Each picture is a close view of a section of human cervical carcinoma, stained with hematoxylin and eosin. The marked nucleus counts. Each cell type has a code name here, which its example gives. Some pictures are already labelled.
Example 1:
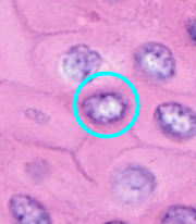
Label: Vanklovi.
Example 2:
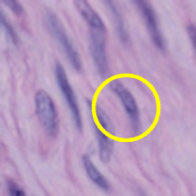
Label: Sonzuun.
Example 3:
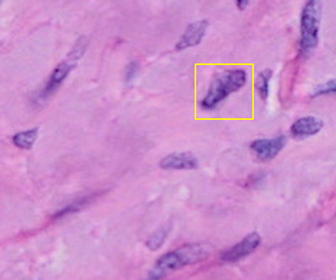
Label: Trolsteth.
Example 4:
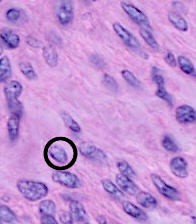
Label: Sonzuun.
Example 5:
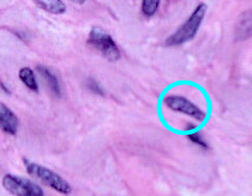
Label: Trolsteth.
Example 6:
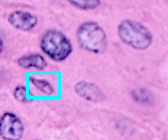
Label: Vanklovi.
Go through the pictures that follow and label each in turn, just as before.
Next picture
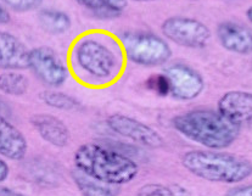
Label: Vanklovi.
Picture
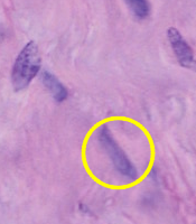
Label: Trolsteth.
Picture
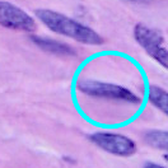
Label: Trolsteth.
